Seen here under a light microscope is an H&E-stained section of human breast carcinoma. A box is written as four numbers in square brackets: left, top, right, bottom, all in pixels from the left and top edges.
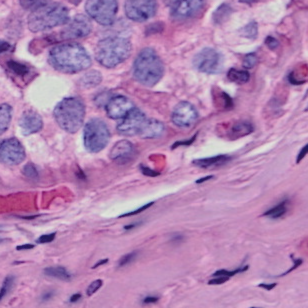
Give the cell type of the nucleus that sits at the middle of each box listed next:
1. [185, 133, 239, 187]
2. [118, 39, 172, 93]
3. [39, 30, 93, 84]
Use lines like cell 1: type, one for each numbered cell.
cell 1: fibroblast
cell 2: carcinoma cell
cell 3: carcinoma cell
